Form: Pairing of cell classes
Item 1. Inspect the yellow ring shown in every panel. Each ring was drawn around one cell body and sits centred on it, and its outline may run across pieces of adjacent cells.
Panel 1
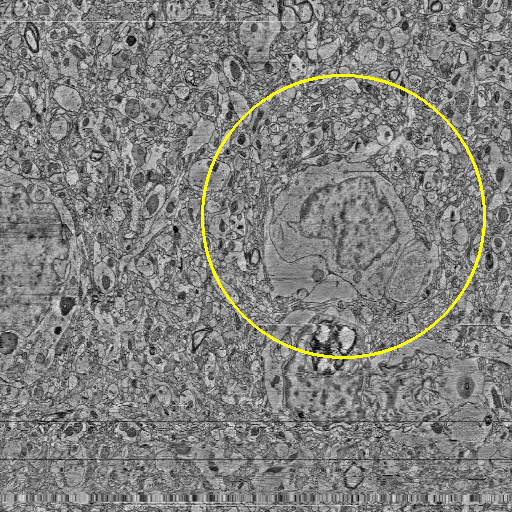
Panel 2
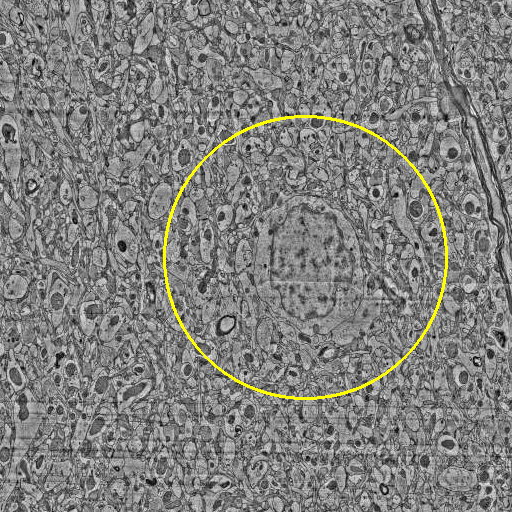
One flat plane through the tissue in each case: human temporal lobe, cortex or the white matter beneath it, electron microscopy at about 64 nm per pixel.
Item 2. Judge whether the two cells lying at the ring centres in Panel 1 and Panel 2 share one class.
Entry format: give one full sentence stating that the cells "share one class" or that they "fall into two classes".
The cells at the ring centres in Panel 1 and Panel 2 share one class.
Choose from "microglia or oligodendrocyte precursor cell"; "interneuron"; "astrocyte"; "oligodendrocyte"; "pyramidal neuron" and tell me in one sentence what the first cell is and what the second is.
The cell at the ring centre is an interneuron in both pictures.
